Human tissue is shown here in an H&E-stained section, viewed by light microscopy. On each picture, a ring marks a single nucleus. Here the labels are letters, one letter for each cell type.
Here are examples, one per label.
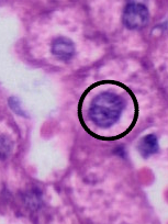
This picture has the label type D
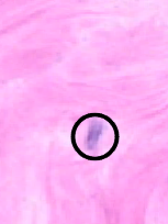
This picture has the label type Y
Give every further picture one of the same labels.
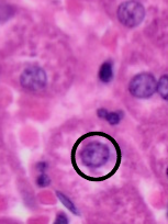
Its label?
type D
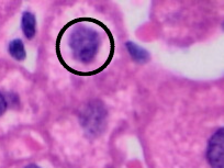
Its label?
type D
